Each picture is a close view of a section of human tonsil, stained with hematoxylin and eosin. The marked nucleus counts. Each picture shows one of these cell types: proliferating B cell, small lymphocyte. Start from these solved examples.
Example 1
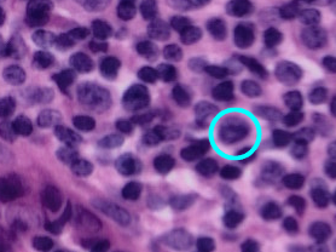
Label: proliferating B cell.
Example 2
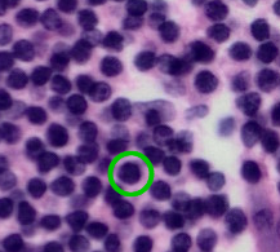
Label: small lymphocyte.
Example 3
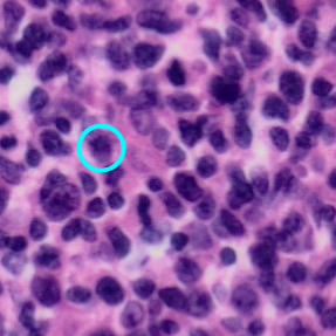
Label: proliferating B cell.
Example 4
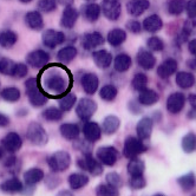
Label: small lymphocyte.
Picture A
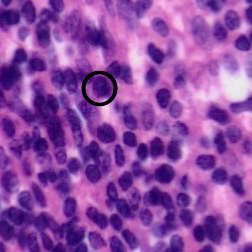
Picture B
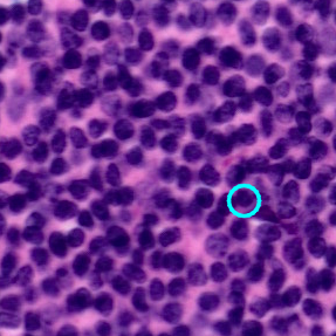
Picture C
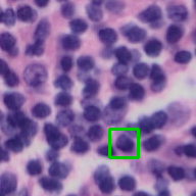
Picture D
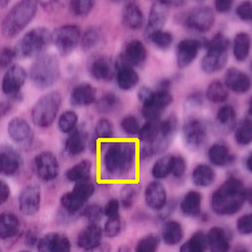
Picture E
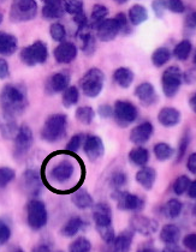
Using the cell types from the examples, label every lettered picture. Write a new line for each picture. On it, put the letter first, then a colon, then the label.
A: proliferating B cell.
B: small lymphocyte.
C: small lymphocyte.
D: proliferating B cell.
E: proliferating B cell.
